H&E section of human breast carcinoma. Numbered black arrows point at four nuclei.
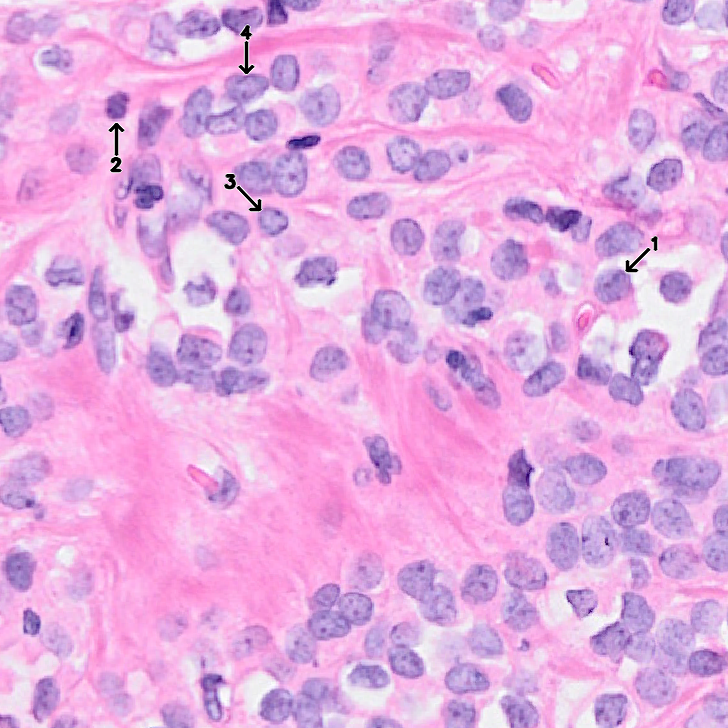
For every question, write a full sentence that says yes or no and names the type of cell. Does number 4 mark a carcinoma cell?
Yes, looking at number 4, that cell is a carcinoma cell.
